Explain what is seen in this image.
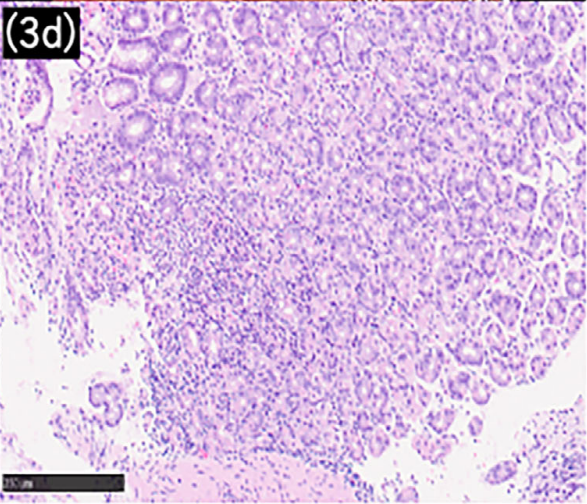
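This is gastric mucosa in which the glands are cut across, so they appear as round and oval profiles lined by a single layer of pale, purple-stained epithelial cells with open central lumens. Between the glands, in the centre-left of the field, the stroma is crowded with a dense collection of small cells with dark, compact nuclei. This forms a localized inflammatory focus rather than an even spread, and it presses in among neighbouring glands. Glands further away sit in looser, less cellular stroma. Near the lower edge the tissue thins out and the biopsy ends in pale pink material.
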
